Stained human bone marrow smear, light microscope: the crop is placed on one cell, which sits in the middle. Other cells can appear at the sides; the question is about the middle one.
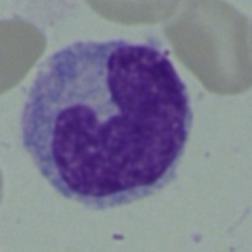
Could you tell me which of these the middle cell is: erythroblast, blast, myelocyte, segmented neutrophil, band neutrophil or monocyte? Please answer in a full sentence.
This crop's central cell is a monocyte.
